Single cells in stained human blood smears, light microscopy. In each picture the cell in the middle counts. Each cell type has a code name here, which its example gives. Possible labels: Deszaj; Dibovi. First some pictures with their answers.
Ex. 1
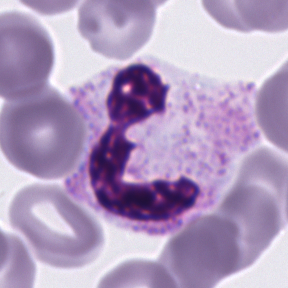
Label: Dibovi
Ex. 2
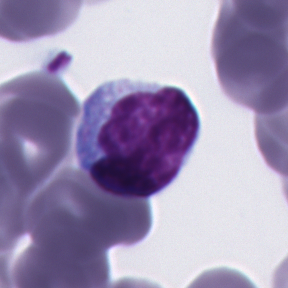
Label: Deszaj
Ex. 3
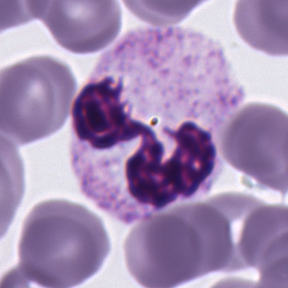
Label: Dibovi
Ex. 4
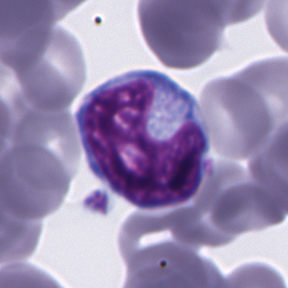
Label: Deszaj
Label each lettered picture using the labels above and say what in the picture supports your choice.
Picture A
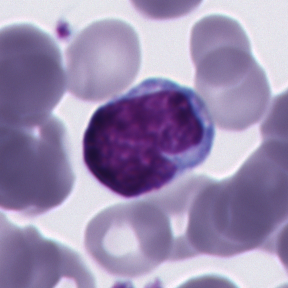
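Deszaj. Evidence: The nucleus fills most of the cell.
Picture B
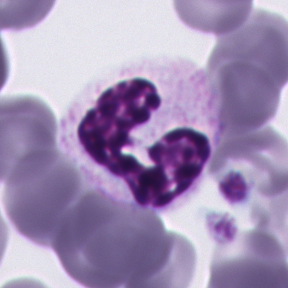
Dibovi. Evidence: The nucleus is a thick curved band bent into a C shape that opens to the right.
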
